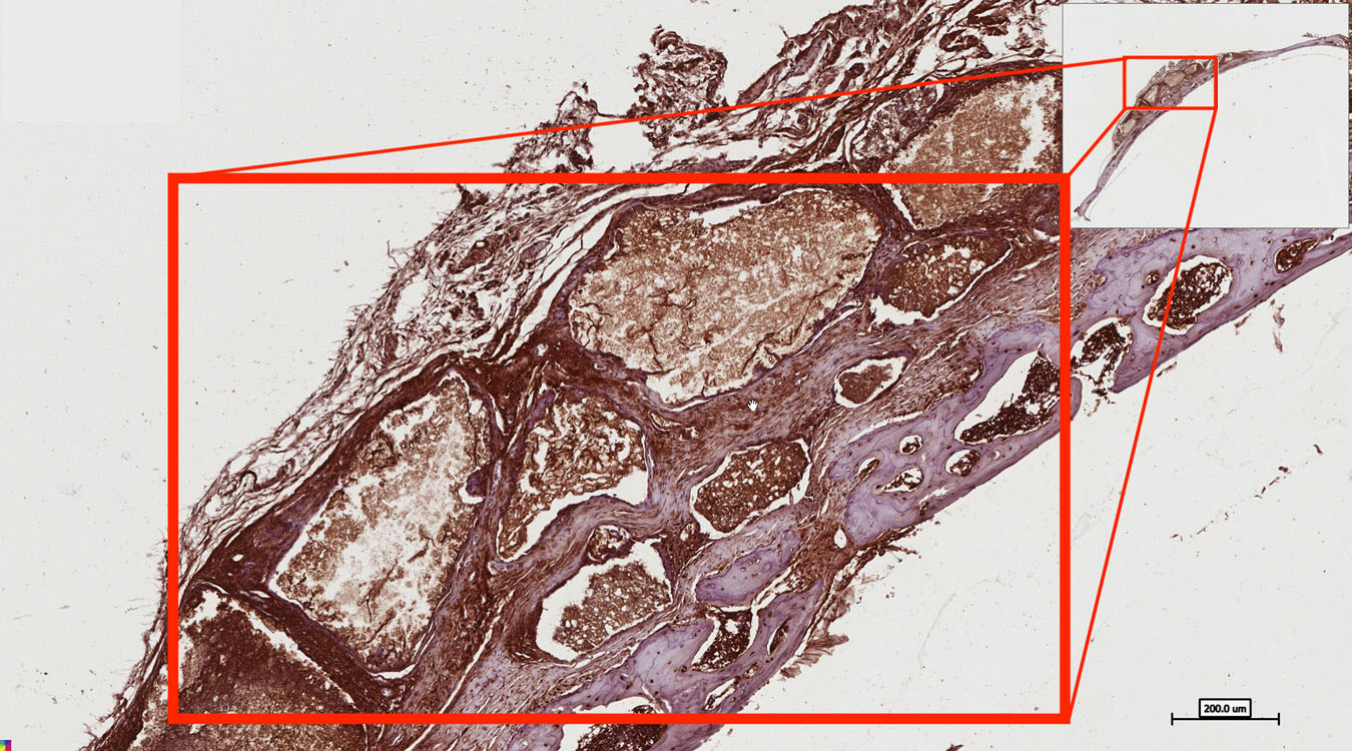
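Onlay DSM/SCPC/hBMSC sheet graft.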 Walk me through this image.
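Large rounded islands of granular, light-brown material lie in the upper left. They are wrapped by bands of densely dark-brown fibrous tissue with many cells. Toward the lower right, pale purple trabeculae with scattered small lacunae enclose smaller rounded spaces filled with dark brown granules.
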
